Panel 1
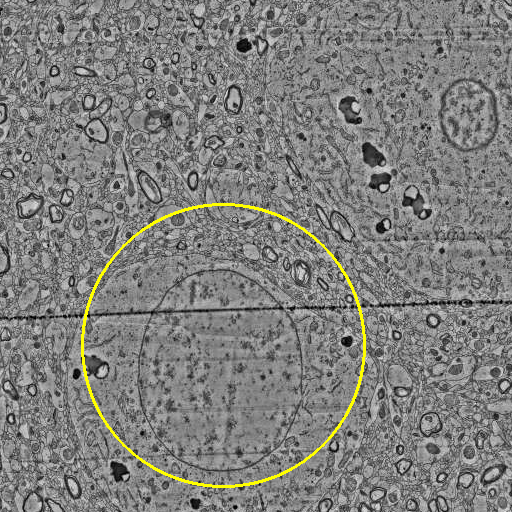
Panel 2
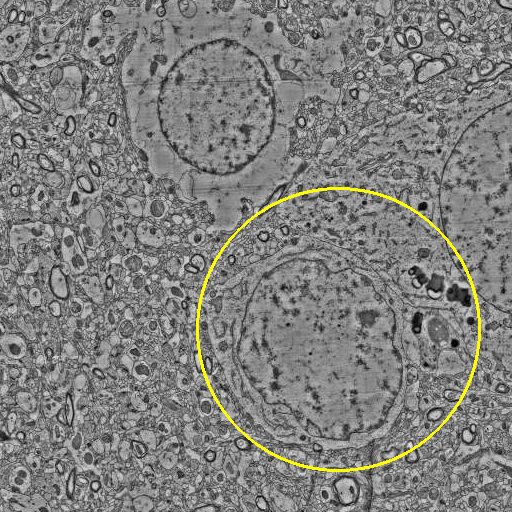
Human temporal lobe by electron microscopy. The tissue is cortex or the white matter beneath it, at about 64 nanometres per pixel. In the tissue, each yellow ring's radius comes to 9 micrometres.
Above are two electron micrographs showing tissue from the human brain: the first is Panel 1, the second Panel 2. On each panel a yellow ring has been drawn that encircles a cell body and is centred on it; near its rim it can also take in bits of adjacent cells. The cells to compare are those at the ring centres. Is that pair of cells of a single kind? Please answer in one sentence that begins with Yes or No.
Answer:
No, the ring-centred cells of Panel 1 and Panel 2 belong to two kinds.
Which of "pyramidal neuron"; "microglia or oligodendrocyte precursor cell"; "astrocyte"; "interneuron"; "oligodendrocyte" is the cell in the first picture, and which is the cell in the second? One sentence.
The two differ: the first cell is a pyramidal neuron and the second is an interneuron.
